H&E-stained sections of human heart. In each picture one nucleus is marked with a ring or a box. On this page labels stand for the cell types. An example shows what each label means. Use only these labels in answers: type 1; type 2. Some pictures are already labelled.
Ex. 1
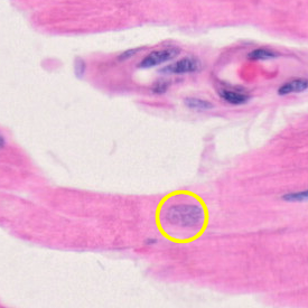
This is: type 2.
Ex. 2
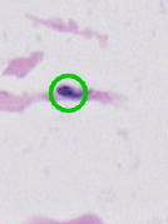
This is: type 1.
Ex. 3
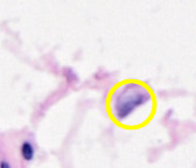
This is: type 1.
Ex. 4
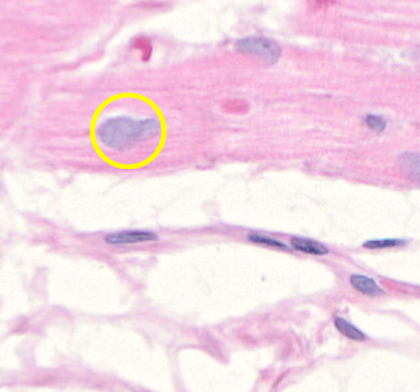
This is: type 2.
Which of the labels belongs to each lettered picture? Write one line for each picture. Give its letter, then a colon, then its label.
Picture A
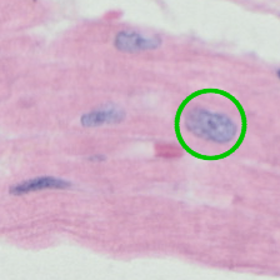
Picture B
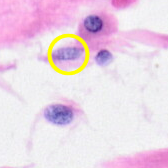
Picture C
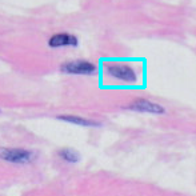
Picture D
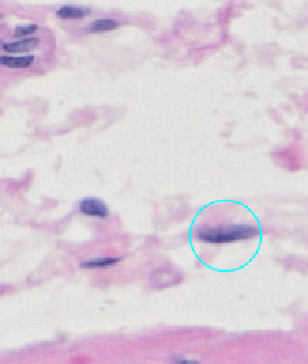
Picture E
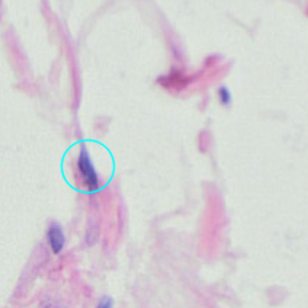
A: type 2.
B: type 1.
C: type 1.
D: type 1.
E: type 1.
